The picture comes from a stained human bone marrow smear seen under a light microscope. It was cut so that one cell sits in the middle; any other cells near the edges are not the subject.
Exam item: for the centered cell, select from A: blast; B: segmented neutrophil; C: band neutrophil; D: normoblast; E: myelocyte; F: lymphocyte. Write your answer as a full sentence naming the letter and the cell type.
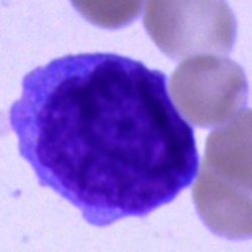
Option A holds, for the cell in the middle is a blast.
